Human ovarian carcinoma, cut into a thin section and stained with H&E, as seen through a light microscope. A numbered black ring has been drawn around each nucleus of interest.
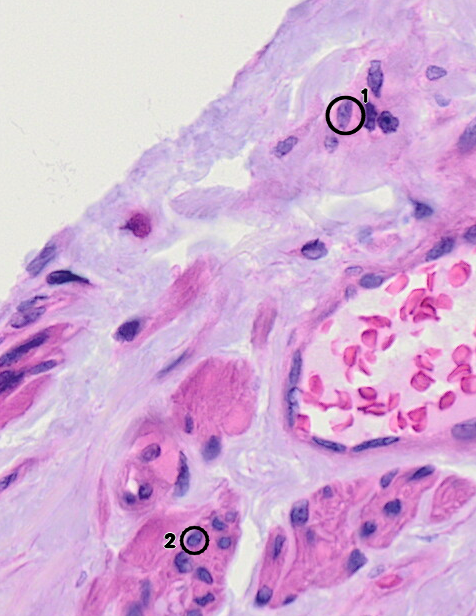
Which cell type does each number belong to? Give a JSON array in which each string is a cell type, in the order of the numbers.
["endothelial cell", "smooth muscle cell"]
